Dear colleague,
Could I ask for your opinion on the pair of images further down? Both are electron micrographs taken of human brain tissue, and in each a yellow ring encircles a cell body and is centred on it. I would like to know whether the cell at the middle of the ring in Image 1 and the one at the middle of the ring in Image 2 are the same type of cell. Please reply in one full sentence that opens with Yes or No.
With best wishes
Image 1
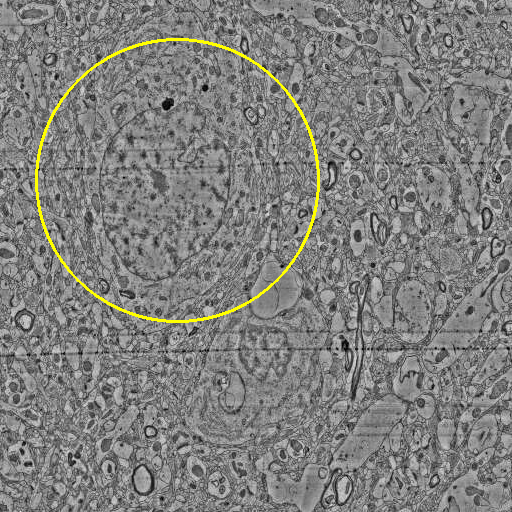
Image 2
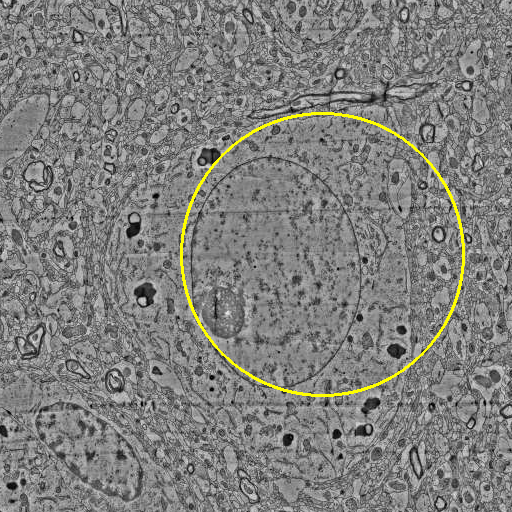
No, the cells at the ring centres in Image 1 and Image 2 are of two types.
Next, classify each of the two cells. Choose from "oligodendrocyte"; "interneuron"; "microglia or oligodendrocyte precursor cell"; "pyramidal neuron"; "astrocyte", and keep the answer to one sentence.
In the first picture it is an interneuron; in the second it is a pyramidal neuron.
